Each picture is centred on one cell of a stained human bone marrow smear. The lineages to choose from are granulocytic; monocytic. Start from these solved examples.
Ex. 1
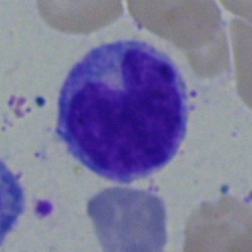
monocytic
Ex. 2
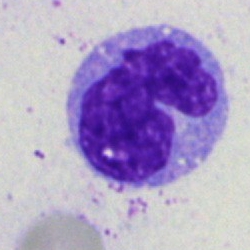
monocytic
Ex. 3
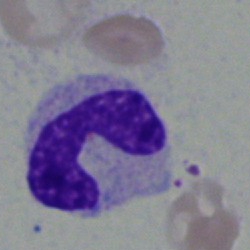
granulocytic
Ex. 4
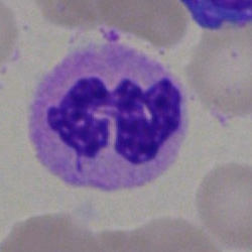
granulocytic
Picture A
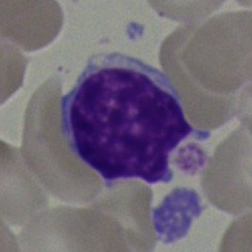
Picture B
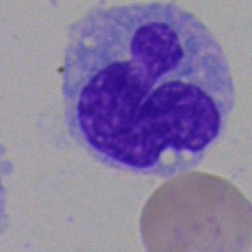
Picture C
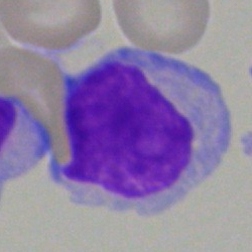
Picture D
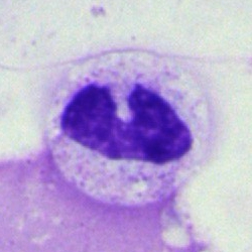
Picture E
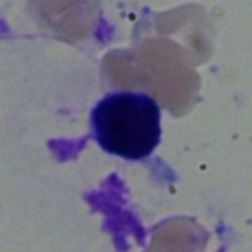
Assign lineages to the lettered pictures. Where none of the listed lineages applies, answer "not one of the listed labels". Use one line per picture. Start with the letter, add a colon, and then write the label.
A: not one of the listed labels
B: monocytic
C: not one of the listed labels
D: granulocytic
E: not one of the listed labels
